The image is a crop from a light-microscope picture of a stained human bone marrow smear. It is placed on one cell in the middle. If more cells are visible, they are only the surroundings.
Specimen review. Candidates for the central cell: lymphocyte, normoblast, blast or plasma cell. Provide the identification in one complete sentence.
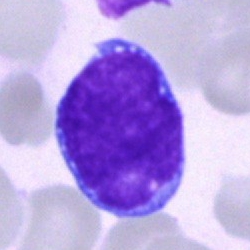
In the middle of this smear crop, the cell is a blast.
